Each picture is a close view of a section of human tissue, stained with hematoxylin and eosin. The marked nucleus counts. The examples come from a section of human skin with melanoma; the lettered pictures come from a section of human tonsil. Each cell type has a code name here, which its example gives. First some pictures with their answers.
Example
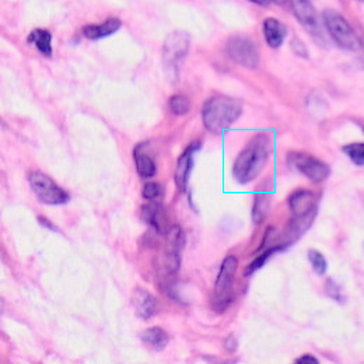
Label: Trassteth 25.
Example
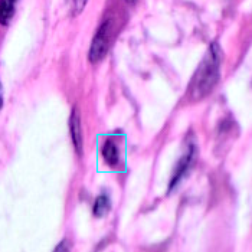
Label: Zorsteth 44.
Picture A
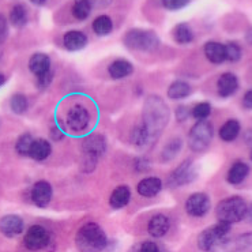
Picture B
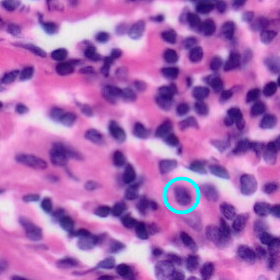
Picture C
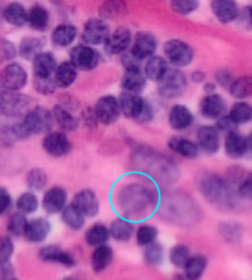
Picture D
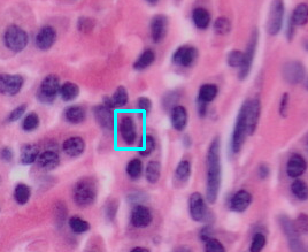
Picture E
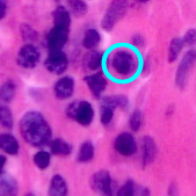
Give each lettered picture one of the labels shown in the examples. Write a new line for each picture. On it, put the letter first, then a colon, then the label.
A: Zorsteth 44.
B: Trassteth 25.
C: Trassteth 25.
D: Zorsteth 44.
E: Zorsteth 44.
